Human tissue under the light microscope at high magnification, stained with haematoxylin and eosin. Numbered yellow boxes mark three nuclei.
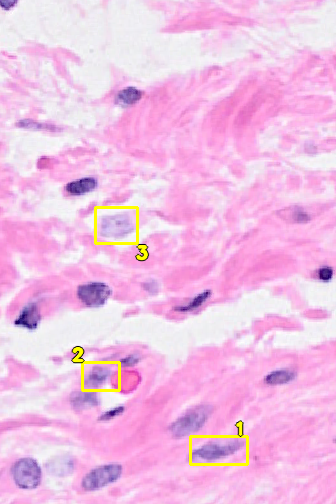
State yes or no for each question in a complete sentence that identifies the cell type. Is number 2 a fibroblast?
No, in terms of cell type, cell 2 is an endothelial cell, not a fibroblast.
